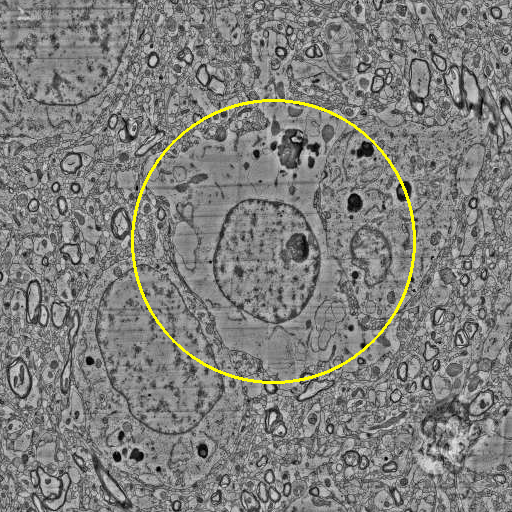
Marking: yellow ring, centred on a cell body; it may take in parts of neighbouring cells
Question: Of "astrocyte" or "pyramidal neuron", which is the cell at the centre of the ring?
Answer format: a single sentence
The ring surrounds the body of an astrocyte.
